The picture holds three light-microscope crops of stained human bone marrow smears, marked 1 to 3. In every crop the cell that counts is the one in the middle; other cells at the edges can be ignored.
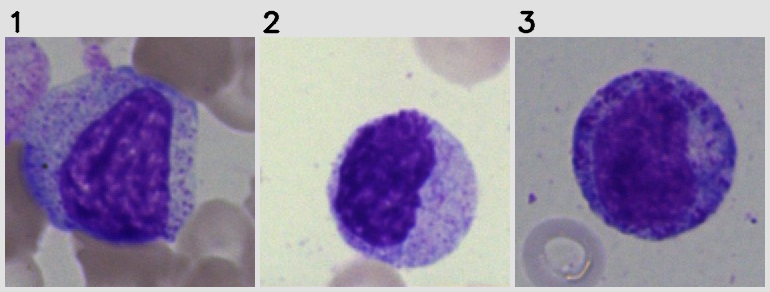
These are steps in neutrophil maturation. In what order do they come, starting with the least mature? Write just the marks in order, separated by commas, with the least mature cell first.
3, 1, 2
